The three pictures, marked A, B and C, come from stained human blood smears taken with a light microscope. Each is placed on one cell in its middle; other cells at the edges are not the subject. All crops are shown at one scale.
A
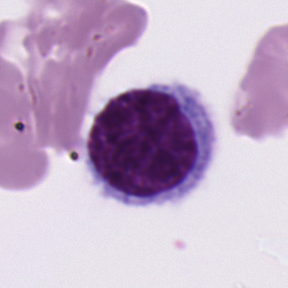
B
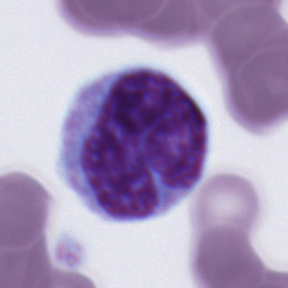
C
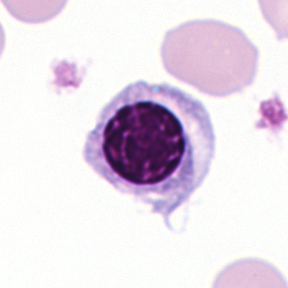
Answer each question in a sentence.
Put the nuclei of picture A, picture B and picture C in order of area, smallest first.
Smallest first: C, A, B.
